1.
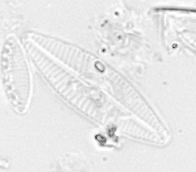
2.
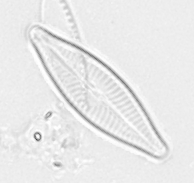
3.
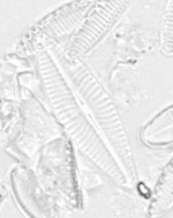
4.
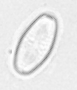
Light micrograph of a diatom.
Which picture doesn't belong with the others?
Picture 4.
